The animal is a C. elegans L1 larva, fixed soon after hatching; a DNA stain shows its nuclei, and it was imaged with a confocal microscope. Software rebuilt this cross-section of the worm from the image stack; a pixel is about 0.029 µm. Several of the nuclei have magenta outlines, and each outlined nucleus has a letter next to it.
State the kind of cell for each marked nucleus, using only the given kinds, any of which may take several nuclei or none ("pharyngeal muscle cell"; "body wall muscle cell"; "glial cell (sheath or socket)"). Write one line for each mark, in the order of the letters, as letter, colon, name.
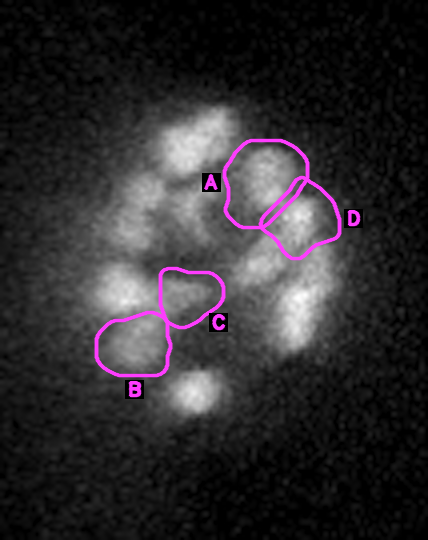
A: body wall muscle cell
B: body wall muscle cell
C: pharyngeal muscle cell
D: glial cell (sheath or socket)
